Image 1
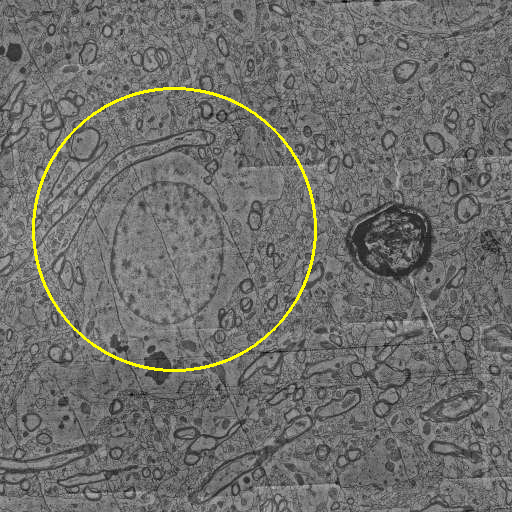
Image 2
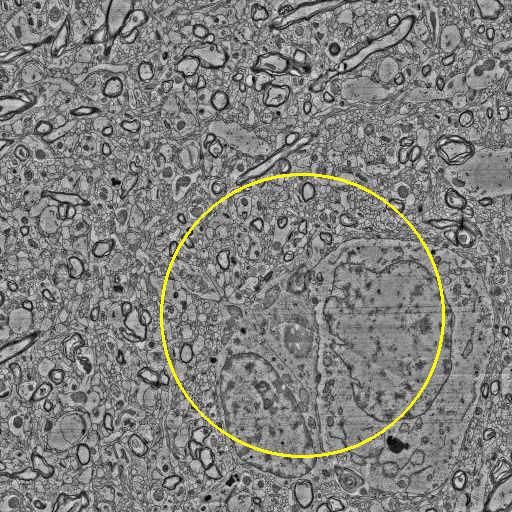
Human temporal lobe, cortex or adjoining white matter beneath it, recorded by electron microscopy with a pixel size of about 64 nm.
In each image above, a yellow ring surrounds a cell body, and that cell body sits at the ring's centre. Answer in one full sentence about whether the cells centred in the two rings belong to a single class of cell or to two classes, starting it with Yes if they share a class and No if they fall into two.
No, the cells centred in the two yellow rings belong to two classes of cell.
